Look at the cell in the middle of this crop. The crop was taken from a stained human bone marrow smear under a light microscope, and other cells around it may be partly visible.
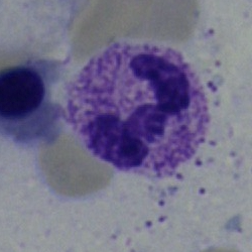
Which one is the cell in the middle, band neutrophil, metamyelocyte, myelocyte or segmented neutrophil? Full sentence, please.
In the middle of this smear crop, the cell is a segmented neutrophil.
